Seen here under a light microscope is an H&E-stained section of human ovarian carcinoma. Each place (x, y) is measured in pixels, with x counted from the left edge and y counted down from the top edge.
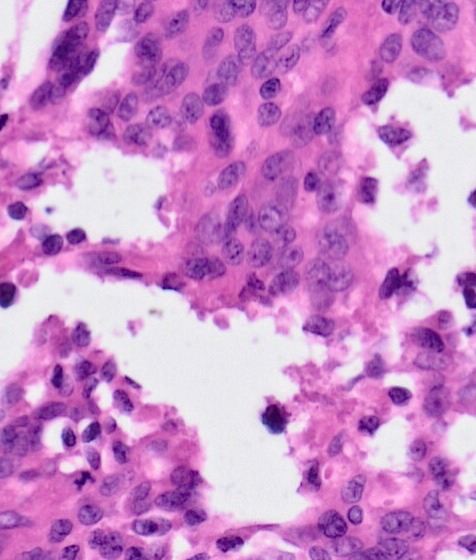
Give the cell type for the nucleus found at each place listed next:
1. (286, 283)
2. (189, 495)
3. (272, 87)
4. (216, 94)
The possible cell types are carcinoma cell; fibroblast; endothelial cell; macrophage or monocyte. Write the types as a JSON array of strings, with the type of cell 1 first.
["carcinoma cell", "carcinoma cell", "macrophage or monocyte", "carcinoma cell"]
